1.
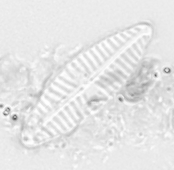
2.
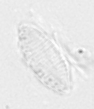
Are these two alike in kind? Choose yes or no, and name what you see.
No. First Navicula, second Nitzschia.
